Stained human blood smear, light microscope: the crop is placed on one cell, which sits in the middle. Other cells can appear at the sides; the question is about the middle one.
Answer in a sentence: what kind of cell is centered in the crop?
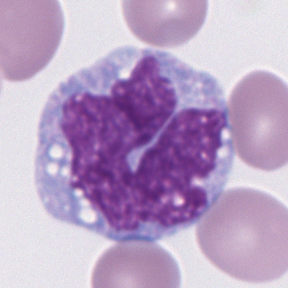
The target cell in the middle of the crop is a monocyte.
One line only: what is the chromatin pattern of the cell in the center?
There is no coarse clumping; the chromatin stays fine throughout.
